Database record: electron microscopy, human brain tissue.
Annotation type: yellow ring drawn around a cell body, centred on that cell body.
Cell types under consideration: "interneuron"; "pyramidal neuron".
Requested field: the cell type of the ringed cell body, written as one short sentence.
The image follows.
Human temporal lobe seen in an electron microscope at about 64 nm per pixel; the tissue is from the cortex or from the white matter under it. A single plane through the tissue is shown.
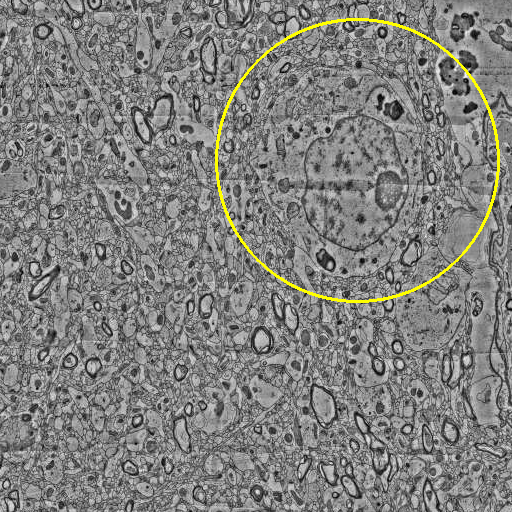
The ringed cell body represents a pyramidal neuron.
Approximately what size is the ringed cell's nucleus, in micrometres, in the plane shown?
In this plane the nucleus measures roughly 9 by 7 micrometers.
